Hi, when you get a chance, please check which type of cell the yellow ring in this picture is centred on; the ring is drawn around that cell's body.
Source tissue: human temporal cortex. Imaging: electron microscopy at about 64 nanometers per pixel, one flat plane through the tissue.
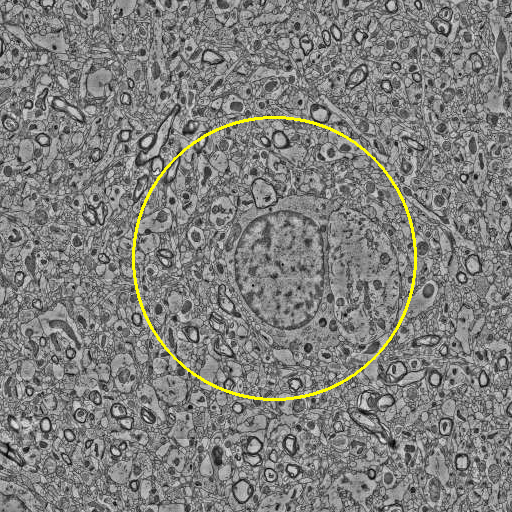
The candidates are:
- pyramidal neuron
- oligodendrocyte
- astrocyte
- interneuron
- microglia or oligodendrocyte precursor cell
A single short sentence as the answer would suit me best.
The ring is drawn around the body of an oligodendrocyte.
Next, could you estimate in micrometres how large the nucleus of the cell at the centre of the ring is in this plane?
In this plane the nucleus is about 8 micrometres by 6.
